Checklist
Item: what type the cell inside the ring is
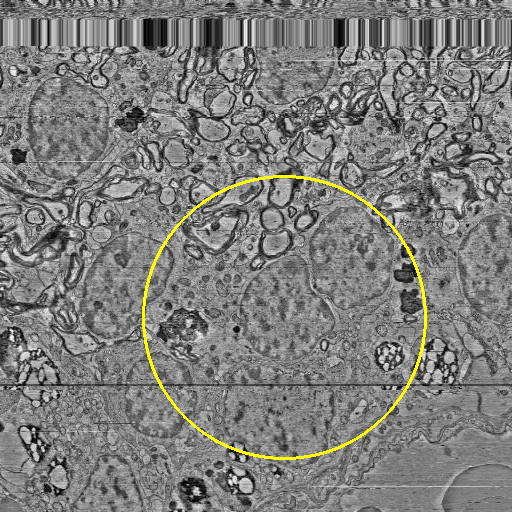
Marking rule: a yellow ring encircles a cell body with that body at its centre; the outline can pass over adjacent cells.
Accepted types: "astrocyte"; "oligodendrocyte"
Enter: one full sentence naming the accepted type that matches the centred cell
The entry is that an oligodendrocyte lies at the centre of the yellow ring.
